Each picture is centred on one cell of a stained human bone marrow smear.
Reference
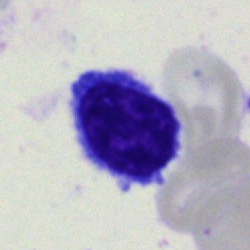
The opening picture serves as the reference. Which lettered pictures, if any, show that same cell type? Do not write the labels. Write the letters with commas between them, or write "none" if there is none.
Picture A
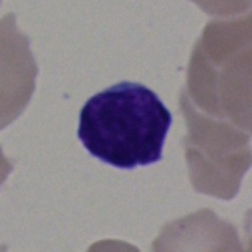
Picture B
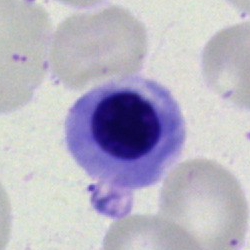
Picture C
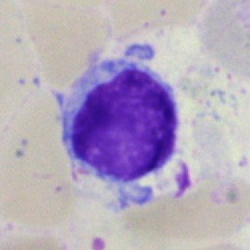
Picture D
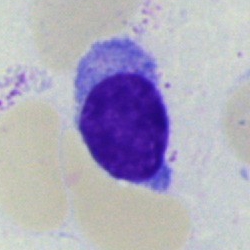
A, C, D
